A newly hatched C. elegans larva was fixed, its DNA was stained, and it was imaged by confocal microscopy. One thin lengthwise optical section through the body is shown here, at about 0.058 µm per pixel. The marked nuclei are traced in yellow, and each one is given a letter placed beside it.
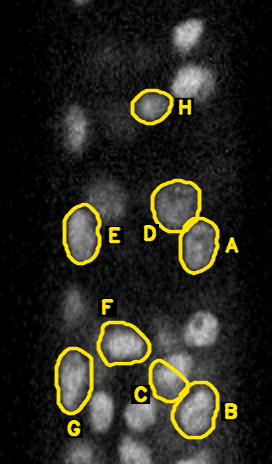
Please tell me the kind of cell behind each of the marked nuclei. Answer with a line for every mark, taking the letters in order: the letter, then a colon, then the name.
A: body wall muscle cell
B: body wall muscle cell
C: pharyngeal muscle cell
D: intestinal cell
E: body wall muscle cell
F: pharyngeal marginal cell
G: neuron
H: neuron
